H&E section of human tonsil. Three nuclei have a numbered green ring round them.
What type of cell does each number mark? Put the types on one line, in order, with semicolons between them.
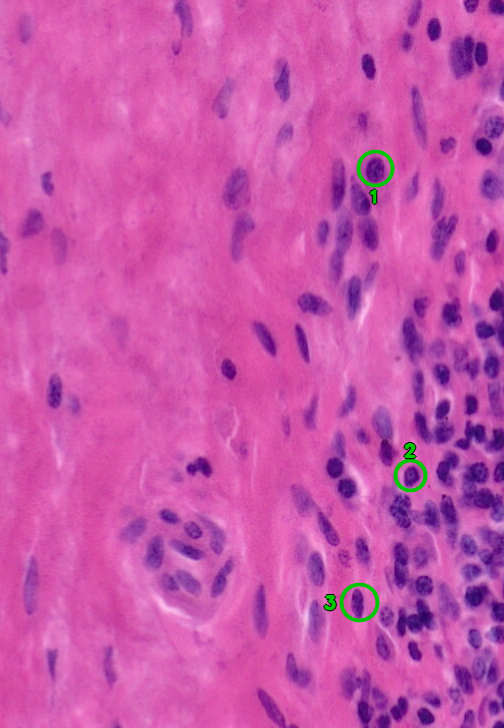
plasma cell; mast cell; mast cell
